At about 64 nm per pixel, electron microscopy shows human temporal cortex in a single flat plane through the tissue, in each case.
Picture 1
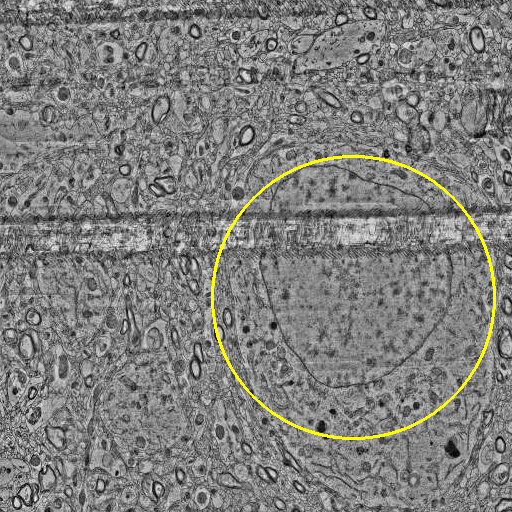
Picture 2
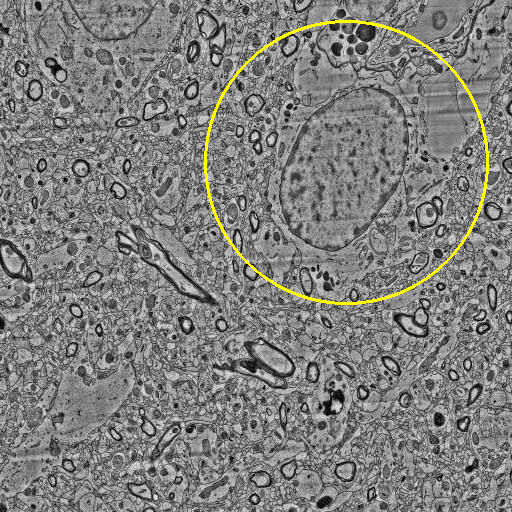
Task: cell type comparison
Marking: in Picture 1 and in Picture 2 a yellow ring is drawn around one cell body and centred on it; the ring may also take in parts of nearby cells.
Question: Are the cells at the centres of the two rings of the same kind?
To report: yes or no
no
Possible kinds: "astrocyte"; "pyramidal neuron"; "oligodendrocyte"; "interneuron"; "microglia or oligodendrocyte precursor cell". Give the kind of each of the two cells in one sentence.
The cell in the second picture is a microglial cell or oligodendrocyte precursor cell, and that in the first is a pyramidal neuron.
